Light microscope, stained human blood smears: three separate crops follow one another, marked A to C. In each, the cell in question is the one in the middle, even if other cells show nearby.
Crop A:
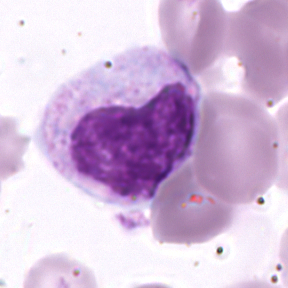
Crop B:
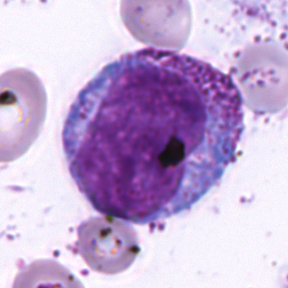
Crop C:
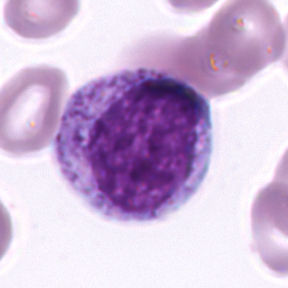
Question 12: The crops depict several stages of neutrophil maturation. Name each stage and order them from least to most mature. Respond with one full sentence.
From the earliest stage to the most mature one, the order is crop B (a promyelocyte), crop C (a myelocyte) and crop A (a metamyelocyte).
